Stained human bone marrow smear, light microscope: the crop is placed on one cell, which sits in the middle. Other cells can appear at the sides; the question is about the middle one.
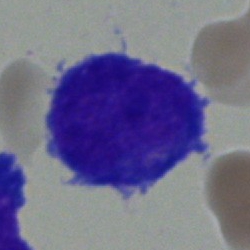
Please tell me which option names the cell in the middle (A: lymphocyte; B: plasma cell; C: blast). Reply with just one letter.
C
